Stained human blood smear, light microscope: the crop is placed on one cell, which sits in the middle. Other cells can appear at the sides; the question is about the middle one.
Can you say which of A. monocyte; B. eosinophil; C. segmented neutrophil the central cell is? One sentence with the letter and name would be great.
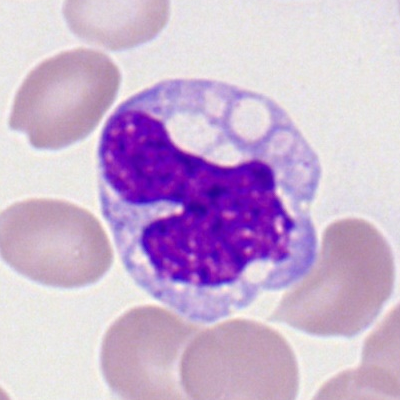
Option A is the correct option, with the middle cell being a monocyte.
